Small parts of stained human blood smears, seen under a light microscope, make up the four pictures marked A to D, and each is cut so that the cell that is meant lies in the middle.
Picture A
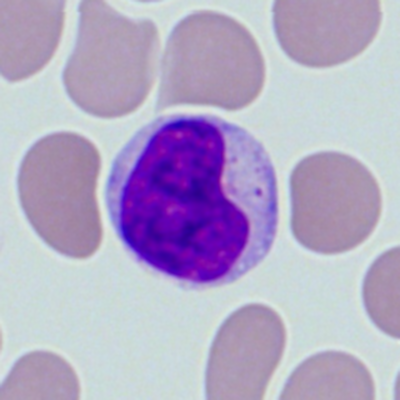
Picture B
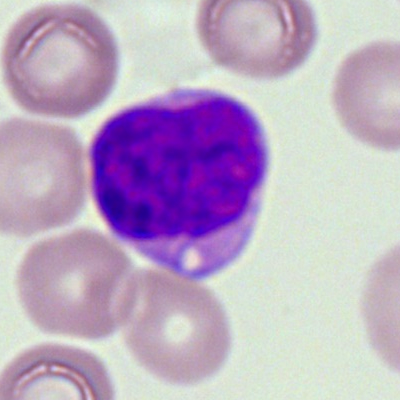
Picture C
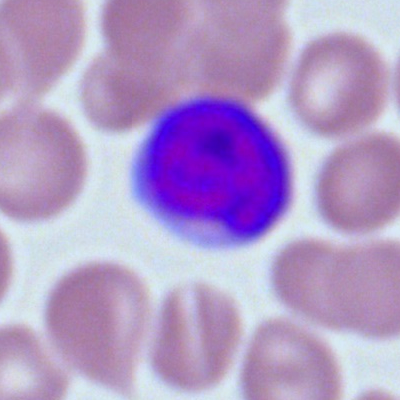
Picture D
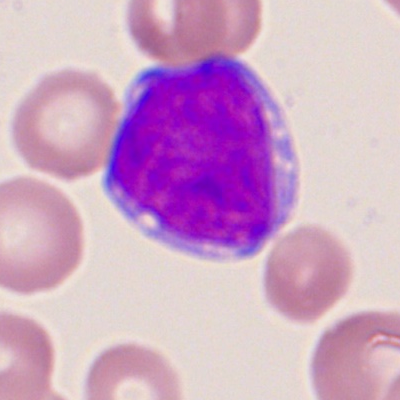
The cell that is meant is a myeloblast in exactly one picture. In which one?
D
